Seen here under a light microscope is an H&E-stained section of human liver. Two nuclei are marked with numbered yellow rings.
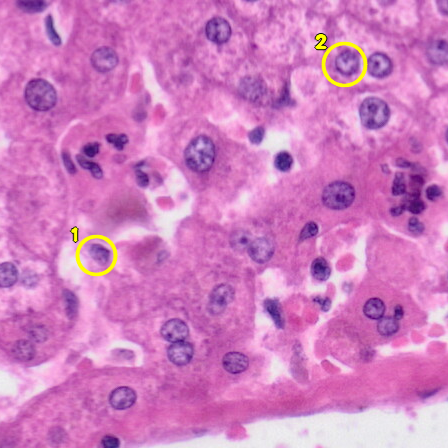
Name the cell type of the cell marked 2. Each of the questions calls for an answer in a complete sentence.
What the number 2 marks in this field is a hepatocyte.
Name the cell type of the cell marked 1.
The cell that bears the number 1 is a Kupffer cell.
